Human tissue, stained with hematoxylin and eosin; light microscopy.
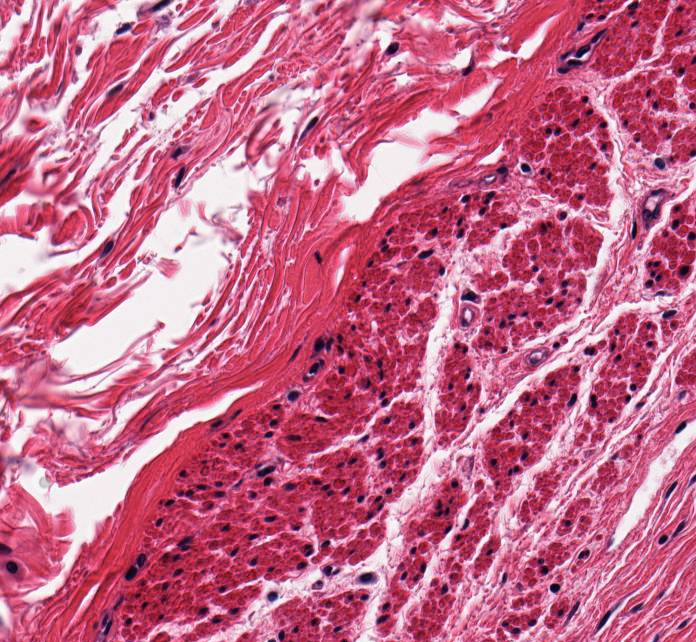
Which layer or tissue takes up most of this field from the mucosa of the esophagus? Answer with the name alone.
smooth muscle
